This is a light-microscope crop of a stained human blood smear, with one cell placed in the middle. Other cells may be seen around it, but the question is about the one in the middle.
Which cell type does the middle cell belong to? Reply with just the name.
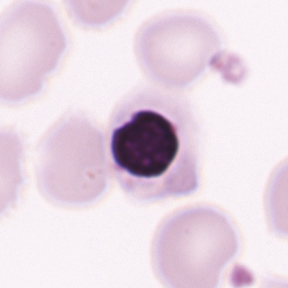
normoblast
